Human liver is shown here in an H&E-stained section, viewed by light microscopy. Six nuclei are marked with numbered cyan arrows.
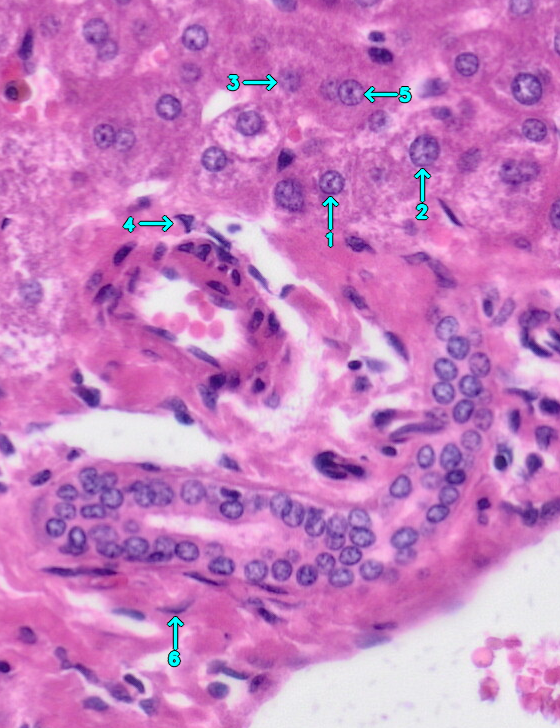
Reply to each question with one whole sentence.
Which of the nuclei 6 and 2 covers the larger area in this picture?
Of the two, number 2 is bigger and takes up about 2.5 times the area of number 6.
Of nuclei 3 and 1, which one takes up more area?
At about 1.5 times the area of nucleus 3, nucleus 1 is the larger of the two.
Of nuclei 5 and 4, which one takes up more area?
At about 2.5 times the area of nucleus 4, nucleus 5 is the larger of the two.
